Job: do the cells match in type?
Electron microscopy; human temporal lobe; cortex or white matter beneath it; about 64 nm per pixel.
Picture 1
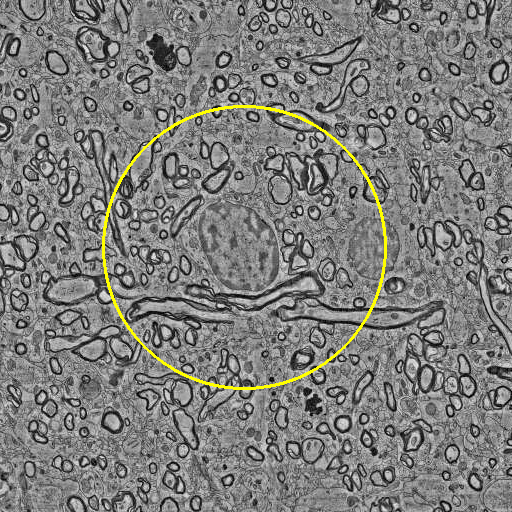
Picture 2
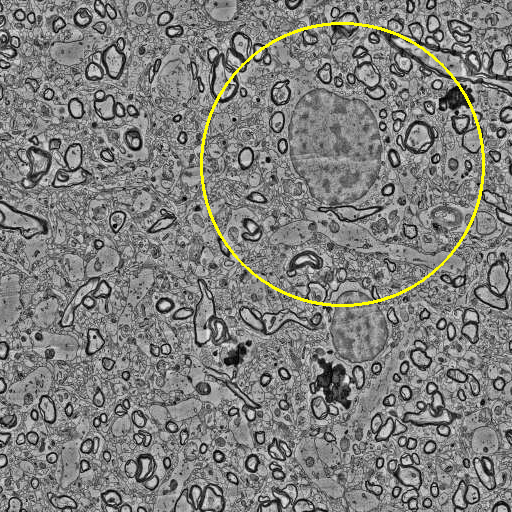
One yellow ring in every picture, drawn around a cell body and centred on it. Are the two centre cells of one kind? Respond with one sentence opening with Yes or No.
No, the ringed cells in the two pictures are of two separate kinds.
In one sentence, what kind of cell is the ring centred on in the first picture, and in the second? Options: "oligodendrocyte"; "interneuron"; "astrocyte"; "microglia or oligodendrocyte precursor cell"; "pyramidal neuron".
The cell at the centre of the second ring is an oligodendrocyte; the first ring's cell is a microglial cell or oligodendrocyte precursor cell.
